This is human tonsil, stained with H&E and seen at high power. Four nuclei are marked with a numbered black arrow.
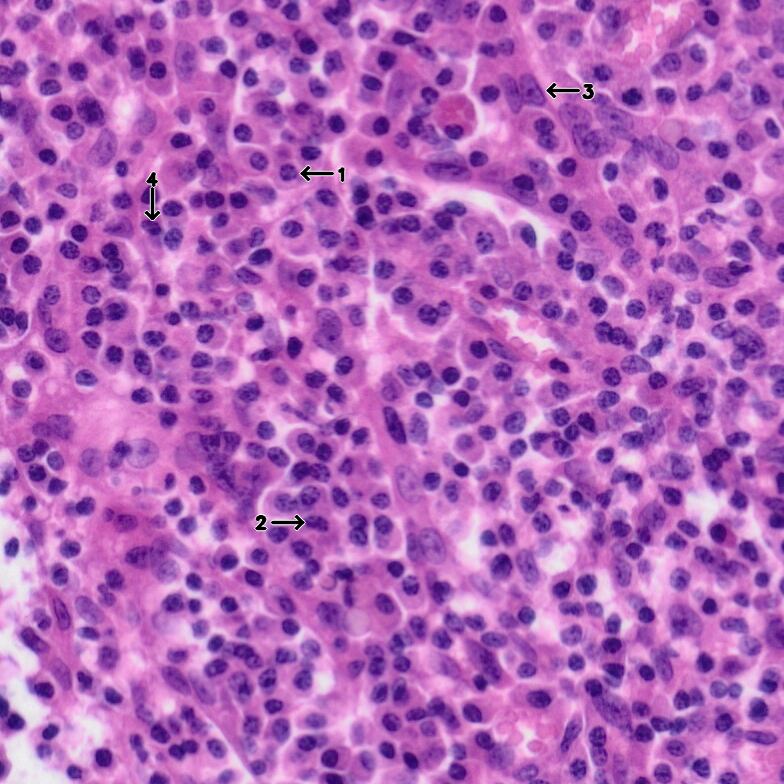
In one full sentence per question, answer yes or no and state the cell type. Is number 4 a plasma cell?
Yes, the cell with its nucleus marked 4 is a plasma cell.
